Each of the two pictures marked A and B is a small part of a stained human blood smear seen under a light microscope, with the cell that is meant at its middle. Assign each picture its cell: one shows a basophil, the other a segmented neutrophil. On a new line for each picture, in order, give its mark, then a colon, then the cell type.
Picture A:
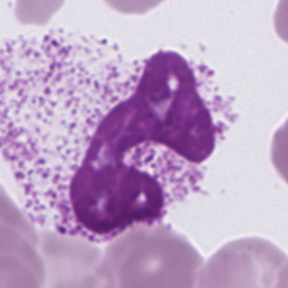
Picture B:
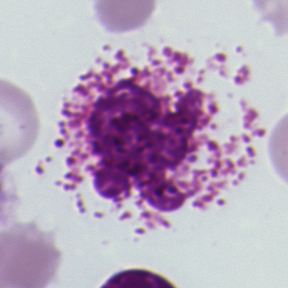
A: segmented neutrophil
B: basophil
